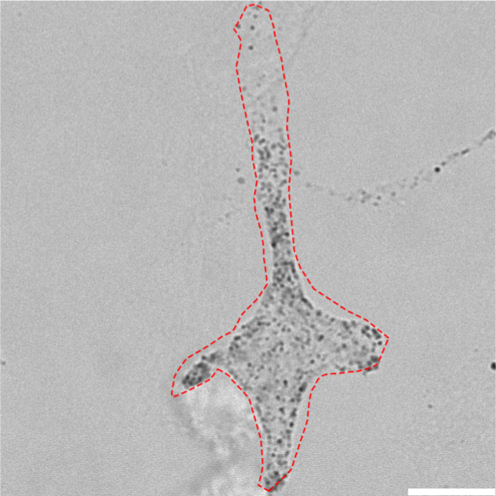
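A cell with a broad body and a long upward extension is traced by a red dashed line. Small dark granules are scattered densely through the body and extend well into the extensions and up the long arm. This is a pigment cell, a melanocyte, with its melanosomes dispersed throughout the cytoplasm rather than bunched in the centre.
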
